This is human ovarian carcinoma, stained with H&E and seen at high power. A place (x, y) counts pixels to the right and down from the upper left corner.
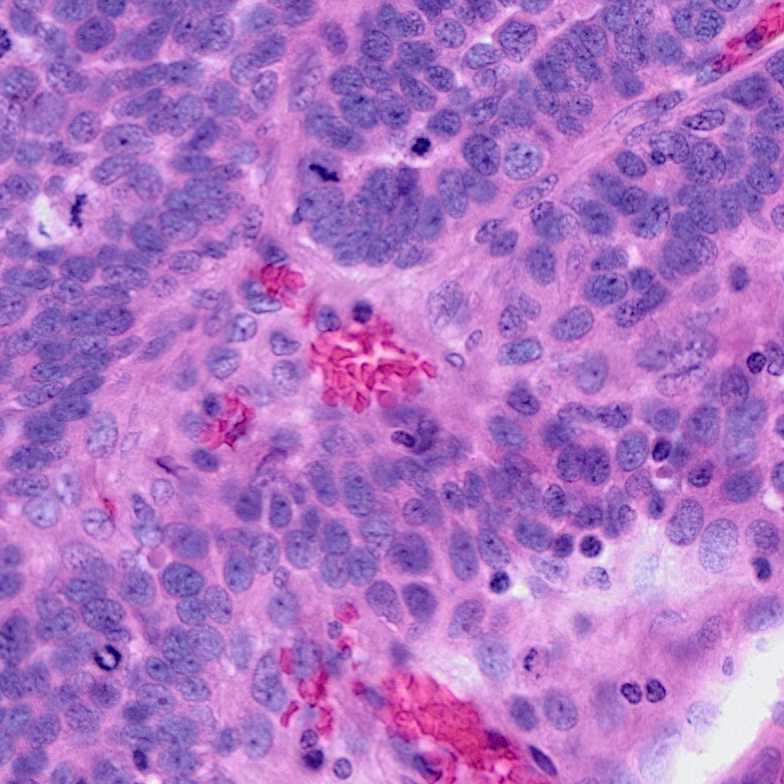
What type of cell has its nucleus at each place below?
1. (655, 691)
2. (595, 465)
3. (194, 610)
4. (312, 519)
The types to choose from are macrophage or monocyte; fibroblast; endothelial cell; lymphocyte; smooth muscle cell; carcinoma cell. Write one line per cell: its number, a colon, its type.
1: lymphocyte
2: carcinoma cell
3: carcinoma cell
4: carcinoma cell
